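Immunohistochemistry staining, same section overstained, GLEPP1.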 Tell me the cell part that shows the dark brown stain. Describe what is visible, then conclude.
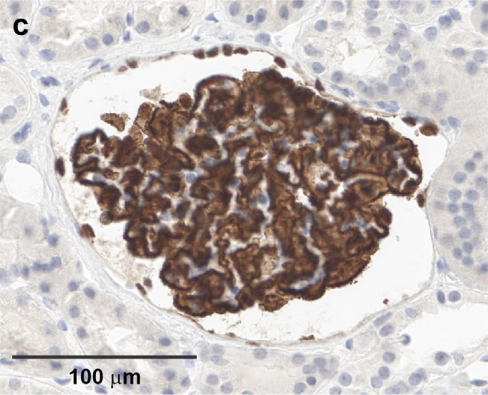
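Podocyte cytoplasm. Dense brown stain covers the lobulated capillary tuft. Pale capillary lumina and blue nuclei show between brown areas.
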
